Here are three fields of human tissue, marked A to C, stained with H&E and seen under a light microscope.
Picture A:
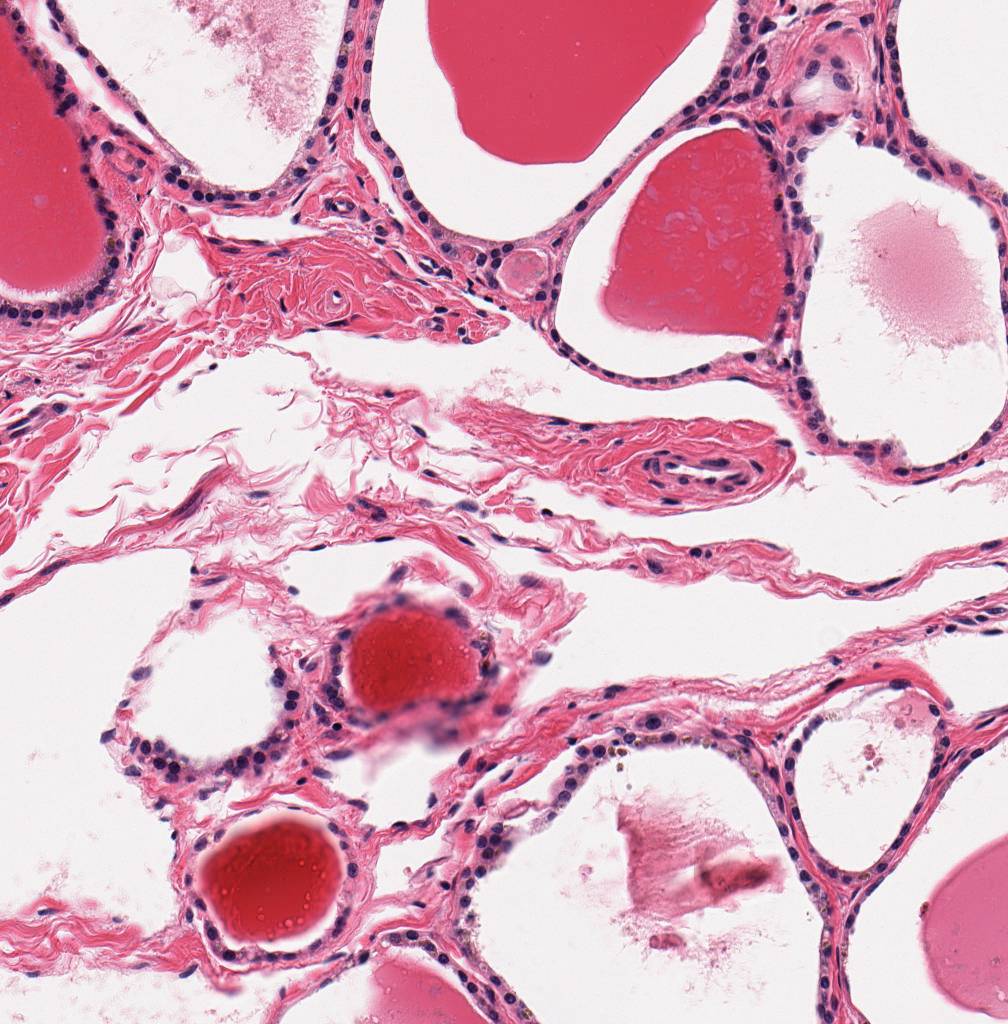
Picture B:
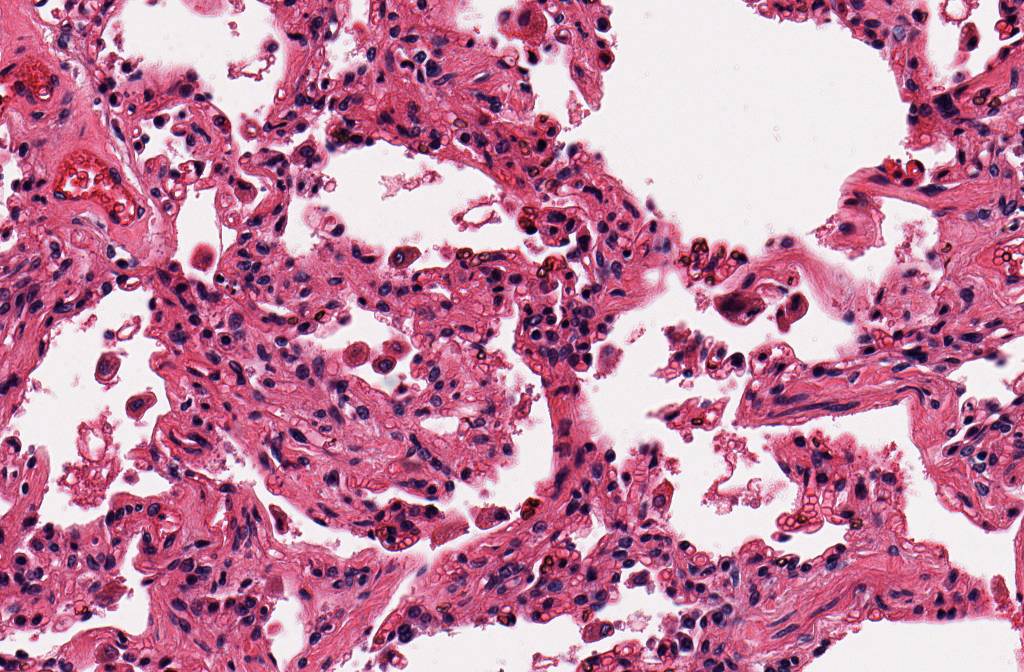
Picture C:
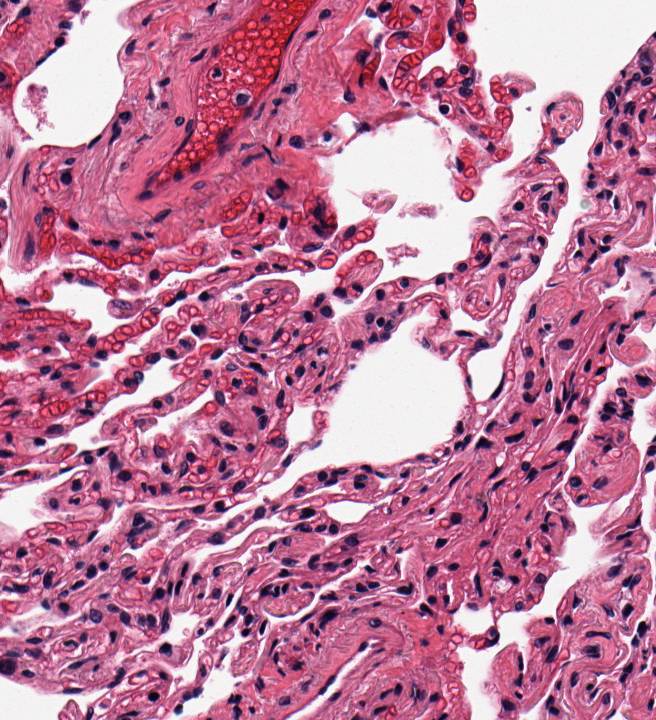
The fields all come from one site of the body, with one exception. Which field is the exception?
A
